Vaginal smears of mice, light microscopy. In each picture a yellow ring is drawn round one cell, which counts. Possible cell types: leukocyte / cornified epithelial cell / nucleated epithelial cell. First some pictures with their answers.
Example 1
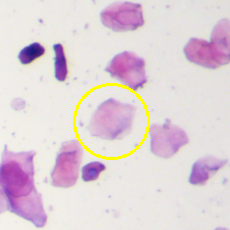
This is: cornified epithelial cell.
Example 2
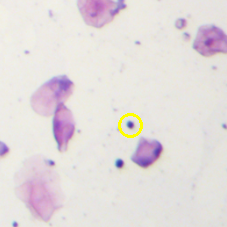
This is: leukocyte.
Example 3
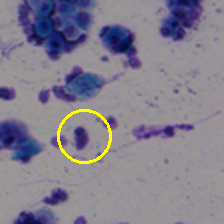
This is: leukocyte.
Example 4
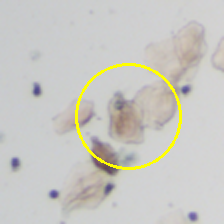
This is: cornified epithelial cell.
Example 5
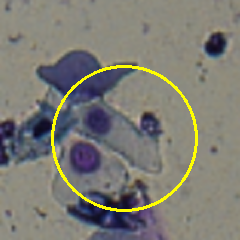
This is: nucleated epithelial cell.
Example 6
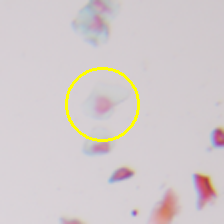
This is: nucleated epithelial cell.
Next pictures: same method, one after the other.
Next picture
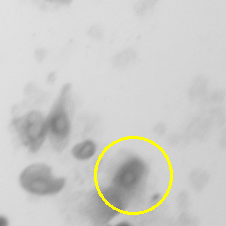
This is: nucleated epithelial cell.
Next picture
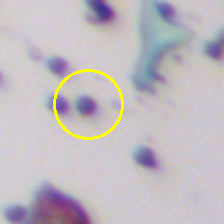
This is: leukocyte.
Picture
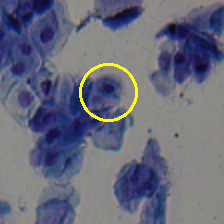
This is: nucleated epithelial cell.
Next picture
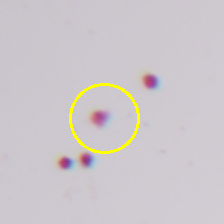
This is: leukocyte.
